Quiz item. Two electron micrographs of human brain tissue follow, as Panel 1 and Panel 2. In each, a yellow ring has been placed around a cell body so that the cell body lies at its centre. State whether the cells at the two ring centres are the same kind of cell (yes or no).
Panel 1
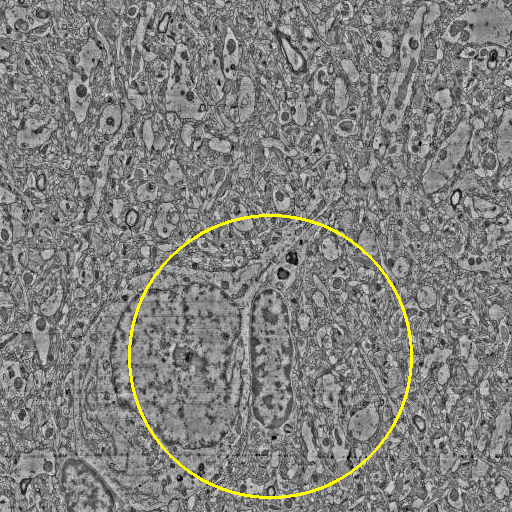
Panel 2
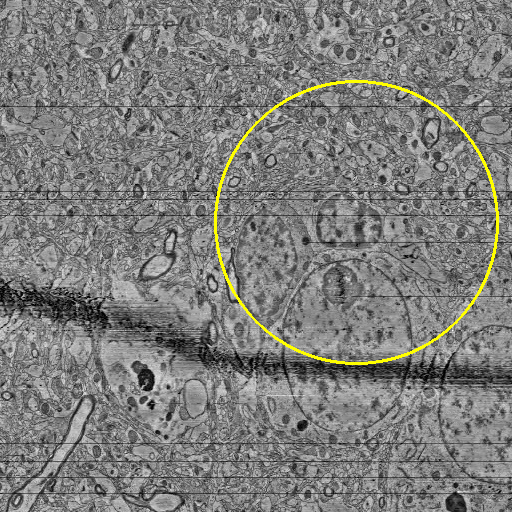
yes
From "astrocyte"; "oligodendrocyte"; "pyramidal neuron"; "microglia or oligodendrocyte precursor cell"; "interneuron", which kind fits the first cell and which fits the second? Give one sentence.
Each of the two cells is a microglial cell or oligodendrocyte precursor cell.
